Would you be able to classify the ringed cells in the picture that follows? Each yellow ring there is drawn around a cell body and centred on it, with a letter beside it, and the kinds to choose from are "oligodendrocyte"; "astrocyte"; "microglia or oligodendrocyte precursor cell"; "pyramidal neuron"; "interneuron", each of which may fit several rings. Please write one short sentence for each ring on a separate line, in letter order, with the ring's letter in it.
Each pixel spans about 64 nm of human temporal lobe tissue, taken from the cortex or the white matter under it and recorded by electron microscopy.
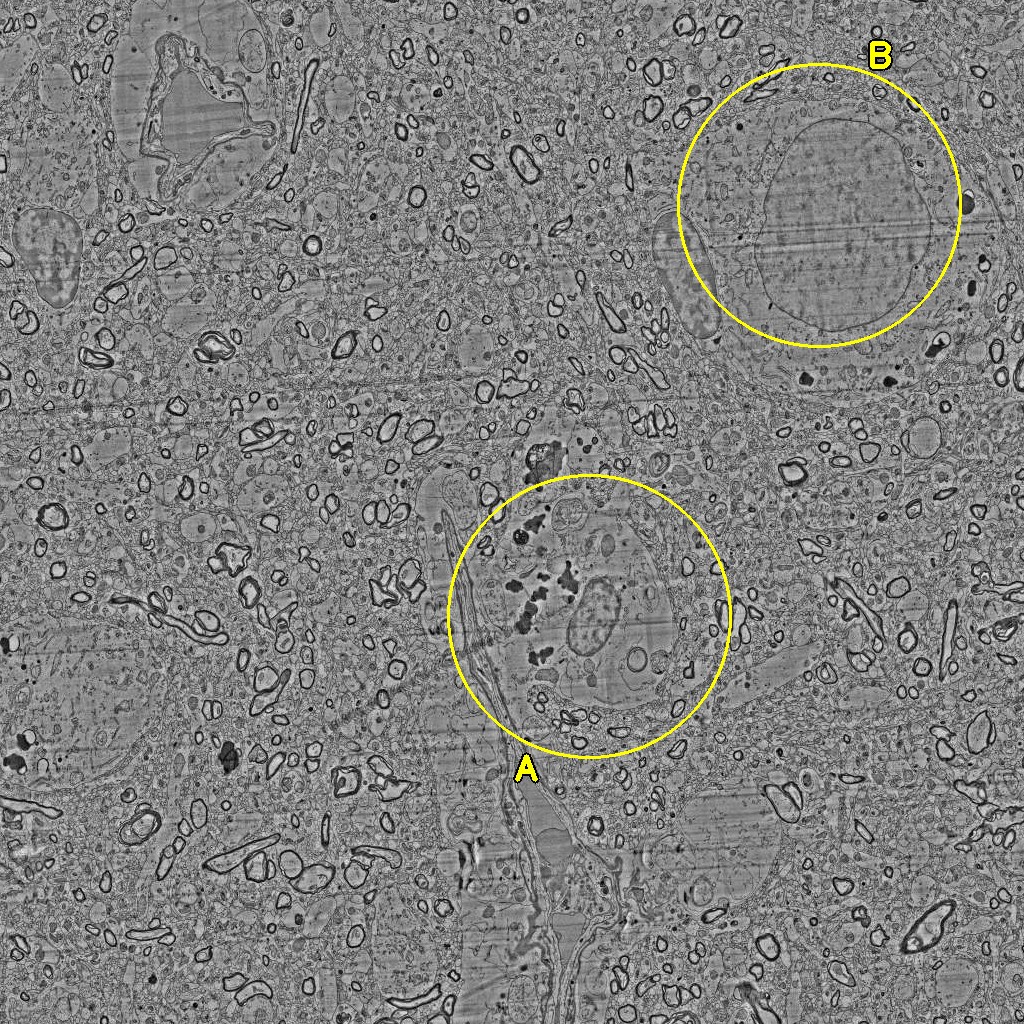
The cell body at the centre of ring A belongs to an astrocyte.
The cell body at the centre of ring B belongs to a pyramidal neuron.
